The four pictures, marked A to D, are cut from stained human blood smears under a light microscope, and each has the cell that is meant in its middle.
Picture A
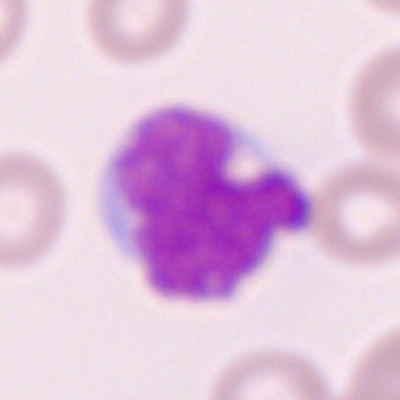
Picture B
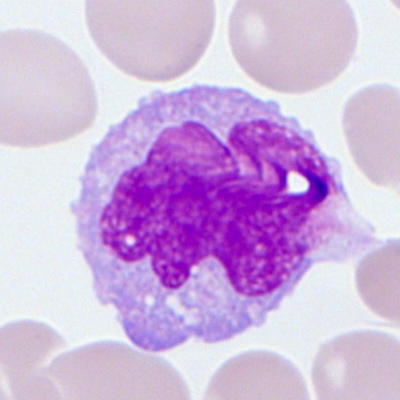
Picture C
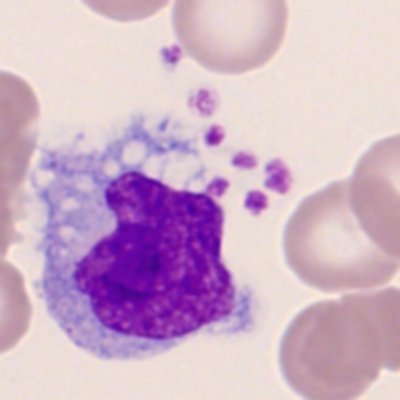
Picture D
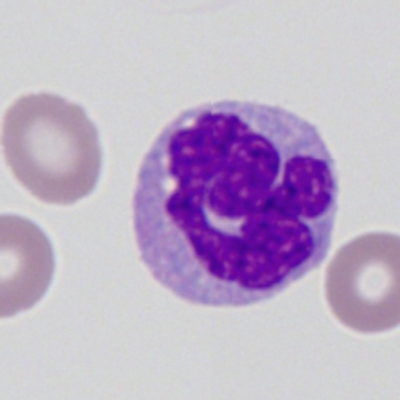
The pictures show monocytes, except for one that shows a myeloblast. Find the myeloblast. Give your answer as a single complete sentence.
The cell in picture A is the myeloblast.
